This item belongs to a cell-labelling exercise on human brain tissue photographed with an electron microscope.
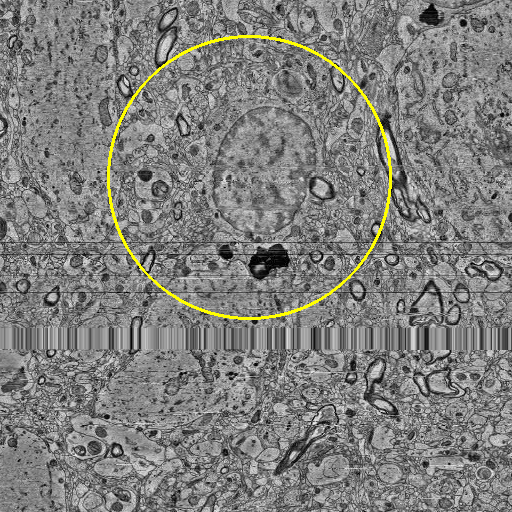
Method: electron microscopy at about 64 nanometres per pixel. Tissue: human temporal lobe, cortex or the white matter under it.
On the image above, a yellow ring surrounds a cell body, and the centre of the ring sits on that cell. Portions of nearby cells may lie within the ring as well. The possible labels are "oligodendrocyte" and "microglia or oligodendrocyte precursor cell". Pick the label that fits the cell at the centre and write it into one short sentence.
This cell should be labelled as an oligodendrocyte.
